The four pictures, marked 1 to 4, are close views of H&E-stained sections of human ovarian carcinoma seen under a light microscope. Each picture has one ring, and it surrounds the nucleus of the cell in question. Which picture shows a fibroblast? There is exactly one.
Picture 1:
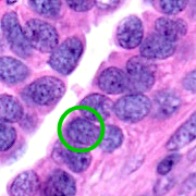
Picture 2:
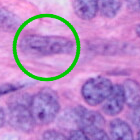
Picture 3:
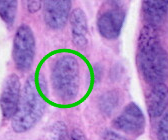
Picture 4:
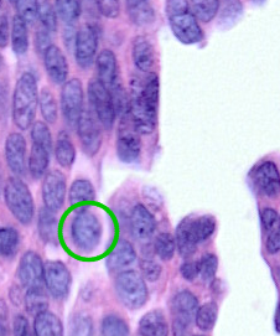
2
